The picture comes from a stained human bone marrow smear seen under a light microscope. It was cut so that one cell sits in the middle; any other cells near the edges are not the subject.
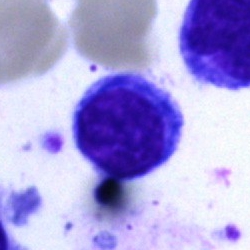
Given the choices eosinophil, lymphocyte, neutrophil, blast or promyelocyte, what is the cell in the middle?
lymphocyte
